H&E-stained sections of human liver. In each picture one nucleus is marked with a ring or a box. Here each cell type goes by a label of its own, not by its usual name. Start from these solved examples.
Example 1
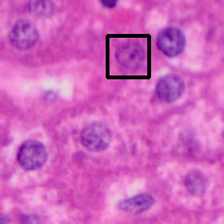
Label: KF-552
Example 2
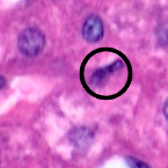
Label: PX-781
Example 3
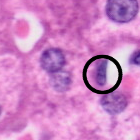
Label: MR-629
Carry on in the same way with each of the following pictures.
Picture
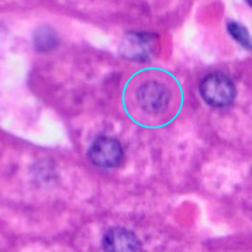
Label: KF-552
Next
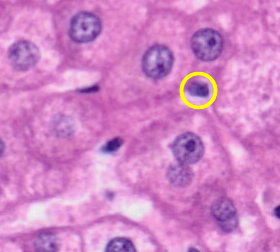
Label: MR-629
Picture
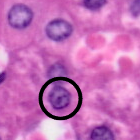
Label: KF-552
